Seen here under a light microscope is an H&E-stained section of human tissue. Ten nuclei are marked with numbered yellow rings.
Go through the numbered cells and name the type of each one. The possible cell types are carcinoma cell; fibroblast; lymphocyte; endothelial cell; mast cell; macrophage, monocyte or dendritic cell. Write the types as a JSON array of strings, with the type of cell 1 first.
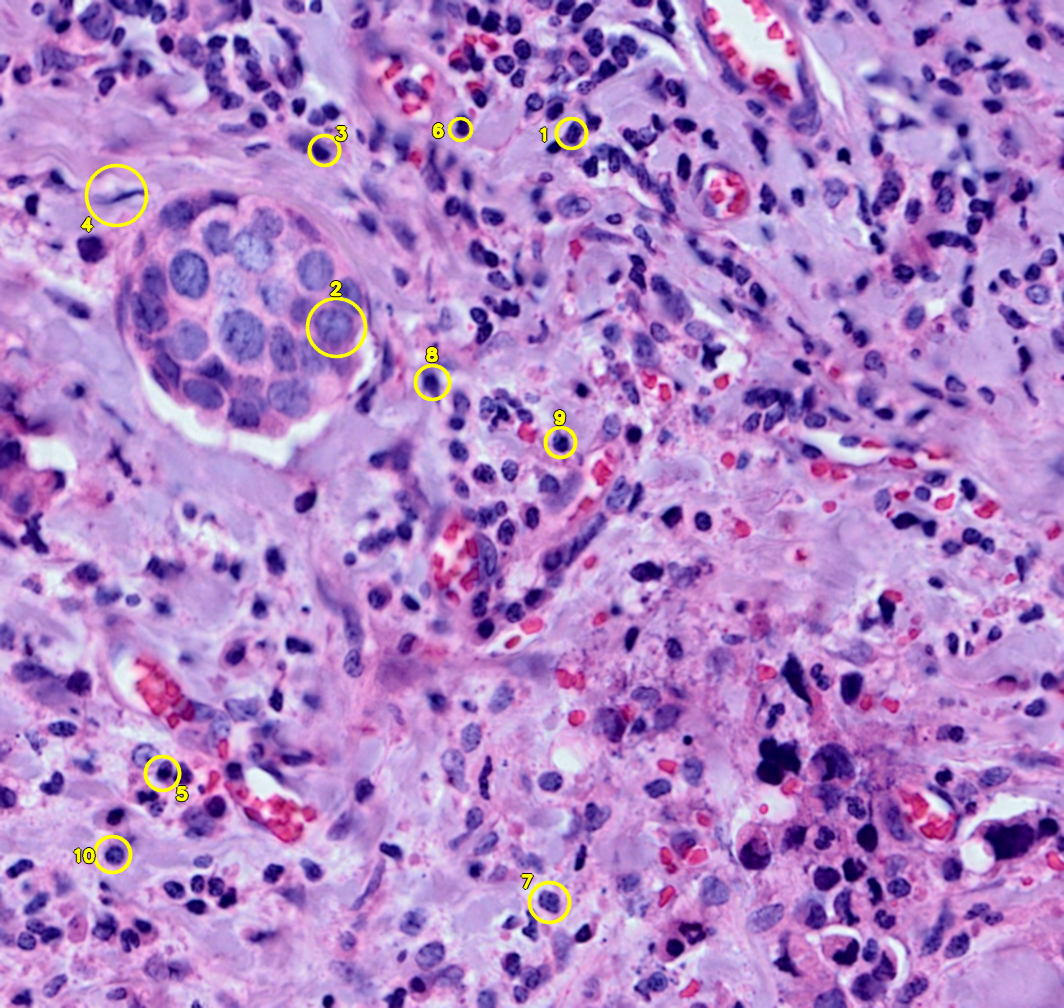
["lymphocyte", "carcinoma cell", "lymphocyte", "fibroblast", "lymphocyte", "lymphocyte", "mast cell", "lymphocyte", "lymphocyte", "mast cell"]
